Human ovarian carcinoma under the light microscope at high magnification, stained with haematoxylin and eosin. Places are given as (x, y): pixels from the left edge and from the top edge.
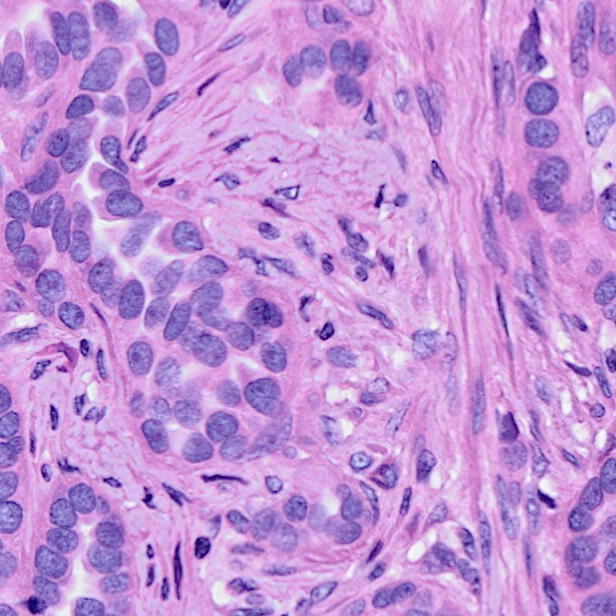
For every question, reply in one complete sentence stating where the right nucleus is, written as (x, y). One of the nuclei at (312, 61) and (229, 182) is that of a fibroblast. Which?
At (229, 182) lies the nucleus that belongs to a fibroblast.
